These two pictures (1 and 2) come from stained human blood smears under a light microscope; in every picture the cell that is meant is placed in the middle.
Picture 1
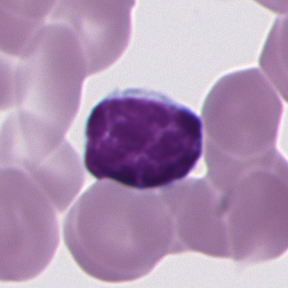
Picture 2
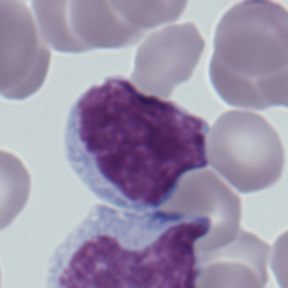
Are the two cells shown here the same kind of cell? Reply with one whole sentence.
Yes, both cells are typical lymphocytes.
